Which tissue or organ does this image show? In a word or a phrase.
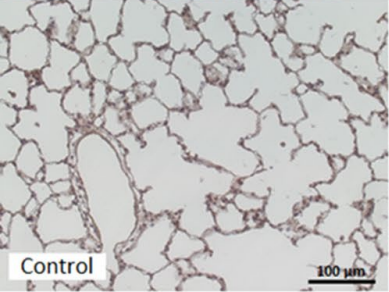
Lung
